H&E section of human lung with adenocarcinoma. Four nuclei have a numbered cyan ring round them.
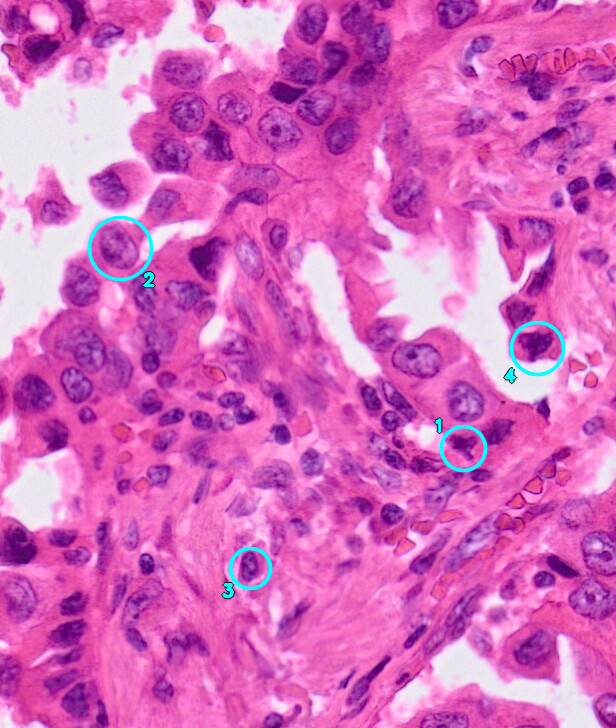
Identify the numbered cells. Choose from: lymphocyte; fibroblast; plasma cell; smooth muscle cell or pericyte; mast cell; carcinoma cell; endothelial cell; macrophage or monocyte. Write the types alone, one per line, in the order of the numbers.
carcinoma cell
carcinoma cell
plasma cell
carcinoma cell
